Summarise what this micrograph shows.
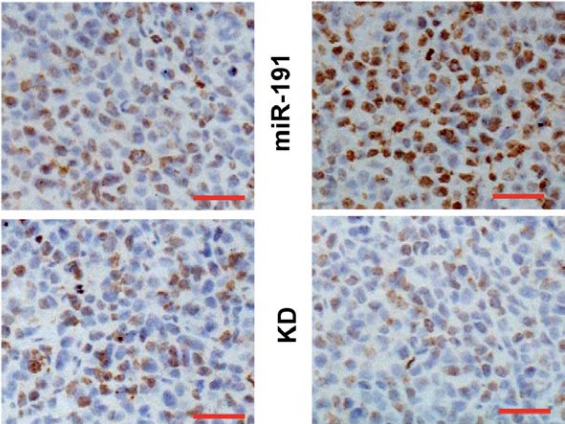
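The cells have large round to oval nuclei and scant pale cytoplasm, with cell borders that are hard to make out. Many nuclei are stained brown while the rest are counterstained blue. The proportion and intensity of brown nuclei differ between the four fields, with one field showing many strongly brown nuclei and another showing only a few.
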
